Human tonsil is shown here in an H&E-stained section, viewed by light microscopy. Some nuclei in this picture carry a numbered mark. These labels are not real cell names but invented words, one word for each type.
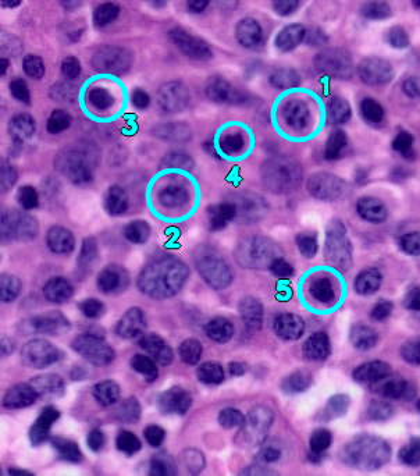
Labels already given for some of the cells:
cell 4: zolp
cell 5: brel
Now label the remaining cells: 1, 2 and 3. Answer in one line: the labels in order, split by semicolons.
brel; brel; zolp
